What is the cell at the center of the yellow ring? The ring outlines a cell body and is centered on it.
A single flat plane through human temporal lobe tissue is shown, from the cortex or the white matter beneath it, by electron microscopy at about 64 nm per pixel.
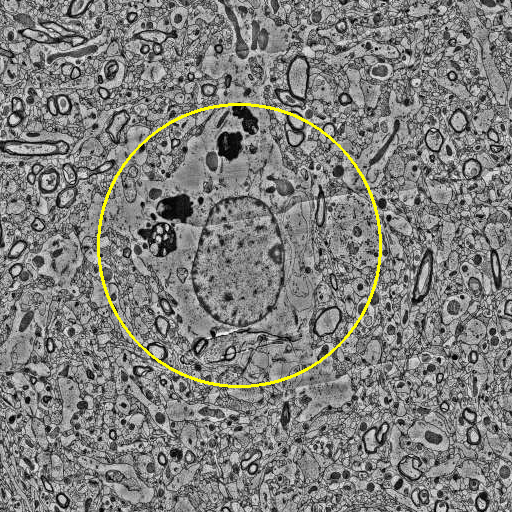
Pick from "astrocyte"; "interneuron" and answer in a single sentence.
The yellow ring is centered on an astrocyte.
